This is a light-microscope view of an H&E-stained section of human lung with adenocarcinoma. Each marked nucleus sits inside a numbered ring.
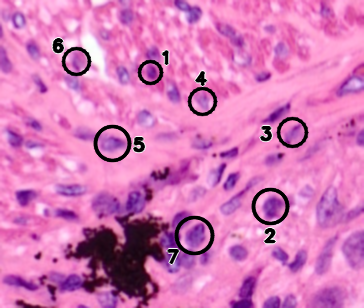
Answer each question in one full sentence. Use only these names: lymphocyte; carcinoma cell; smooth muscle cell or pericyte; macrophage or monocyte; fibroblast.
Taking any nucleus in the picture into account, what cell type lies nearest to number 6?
The cell nearest to number 6 is a smooth muscle cell or pericyte.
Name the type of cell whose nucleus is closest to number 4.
Number 4 lies closest to the nucleus of a smooth muscle cell or pericyte.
